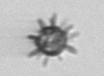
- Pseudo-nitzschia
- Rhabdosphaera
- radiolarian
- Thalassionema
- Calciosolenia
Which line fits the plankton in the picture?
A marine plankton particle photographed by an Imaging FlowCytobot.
Rhabdosphaera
